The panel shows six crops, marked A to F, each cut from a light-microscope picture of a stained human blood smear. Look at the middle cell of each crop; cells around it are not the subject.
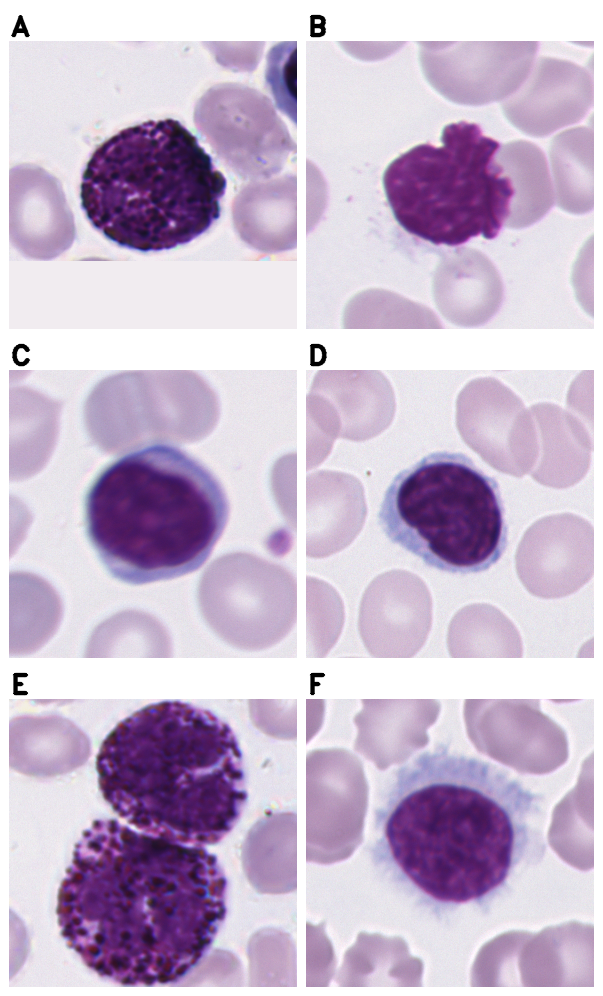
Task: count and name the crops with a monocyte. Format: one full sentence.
Each crop lacks monocytes, which makes the count zero.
